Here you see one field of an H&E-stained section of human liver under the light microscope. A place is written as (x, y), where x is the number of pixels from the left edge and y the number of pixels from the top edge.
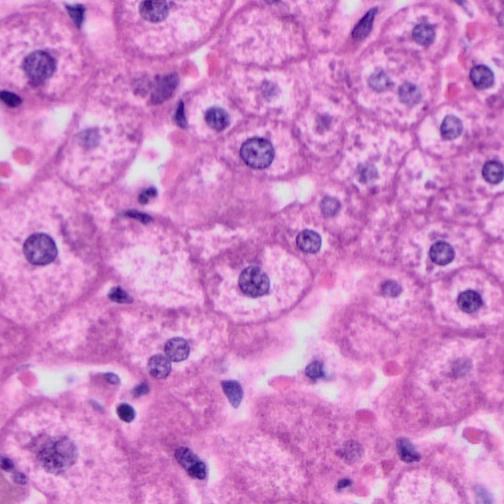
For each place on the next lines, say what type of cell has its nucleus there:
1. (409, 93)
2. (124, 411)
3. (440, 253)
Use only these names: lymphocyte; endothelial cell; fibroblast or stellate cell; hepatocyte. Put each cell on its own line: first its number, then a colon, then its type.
1: hepatocyte
2: lymphocyte
3: hepatocyte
